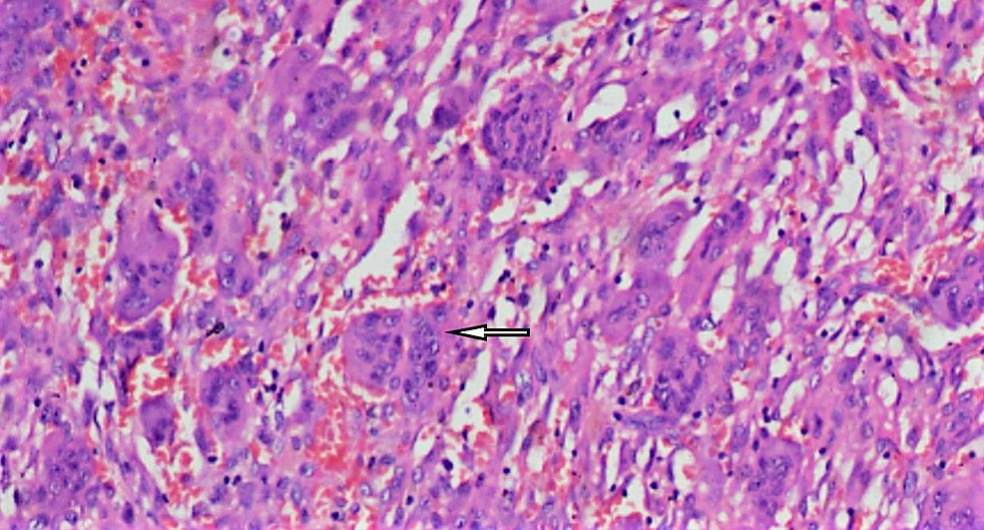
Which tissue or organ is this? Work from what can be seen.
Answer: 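Background of spindle to oval cells with single nuclei. Pink fibrous matrix between the cells. Many red blood cells and small clefts lie among the stromal cells.
Answer: fibro cellular stroma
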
